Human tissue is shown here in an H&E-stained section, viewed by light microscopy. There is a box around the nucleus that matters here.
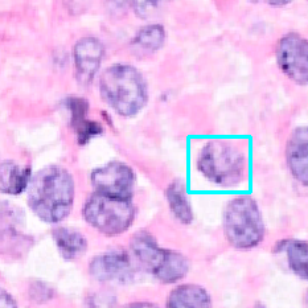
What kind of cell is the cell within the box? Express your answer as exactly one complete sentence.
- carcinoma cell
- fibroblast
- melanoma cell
It is a carcinoma cell that the cell within the box represents.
